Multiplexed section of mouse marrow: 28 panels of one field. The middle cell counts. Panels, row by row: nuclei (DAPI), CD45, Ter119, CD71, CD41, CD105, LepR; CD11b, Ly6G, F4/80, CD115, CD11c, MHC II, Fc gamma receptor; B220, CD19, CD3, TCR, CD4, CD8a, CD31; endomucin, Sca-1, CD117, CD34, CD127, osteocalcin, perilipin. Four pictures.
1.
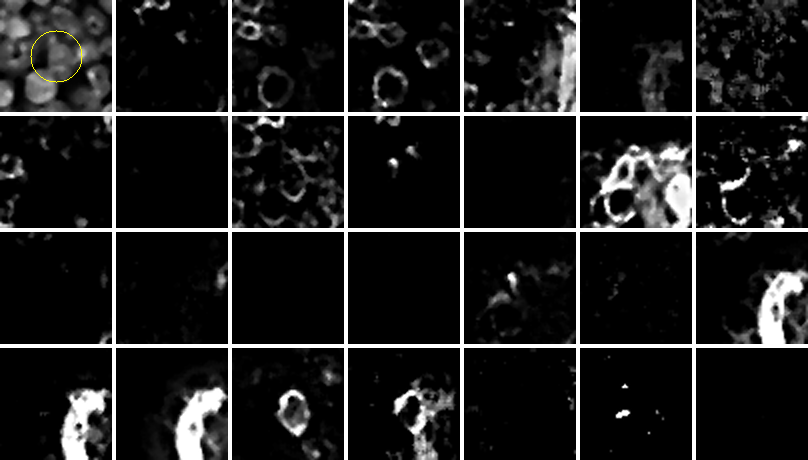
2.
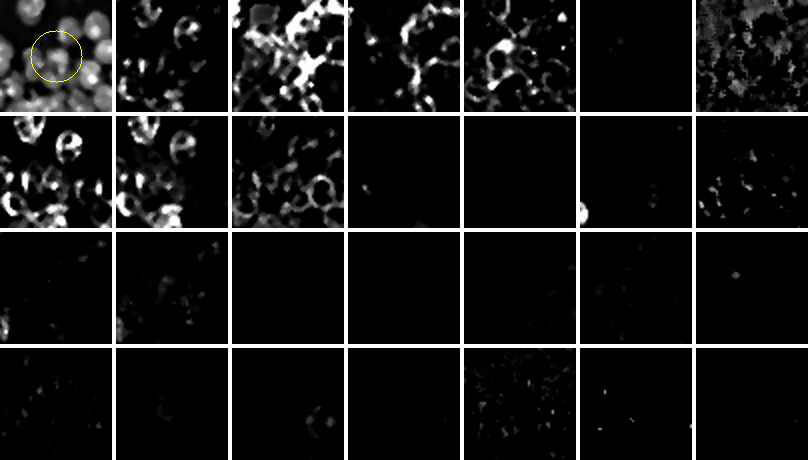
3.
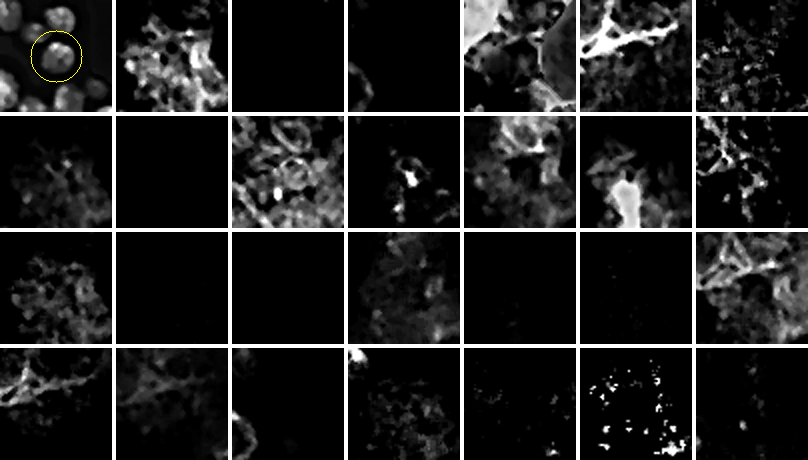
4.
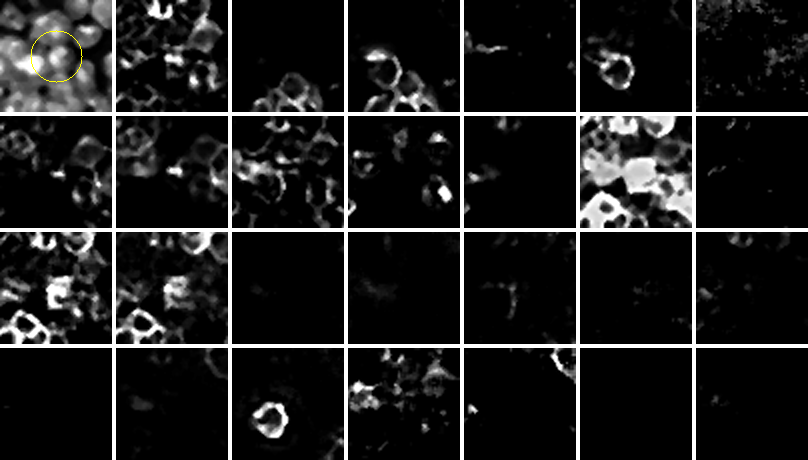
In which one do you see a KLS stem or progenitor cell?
In picture 1.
